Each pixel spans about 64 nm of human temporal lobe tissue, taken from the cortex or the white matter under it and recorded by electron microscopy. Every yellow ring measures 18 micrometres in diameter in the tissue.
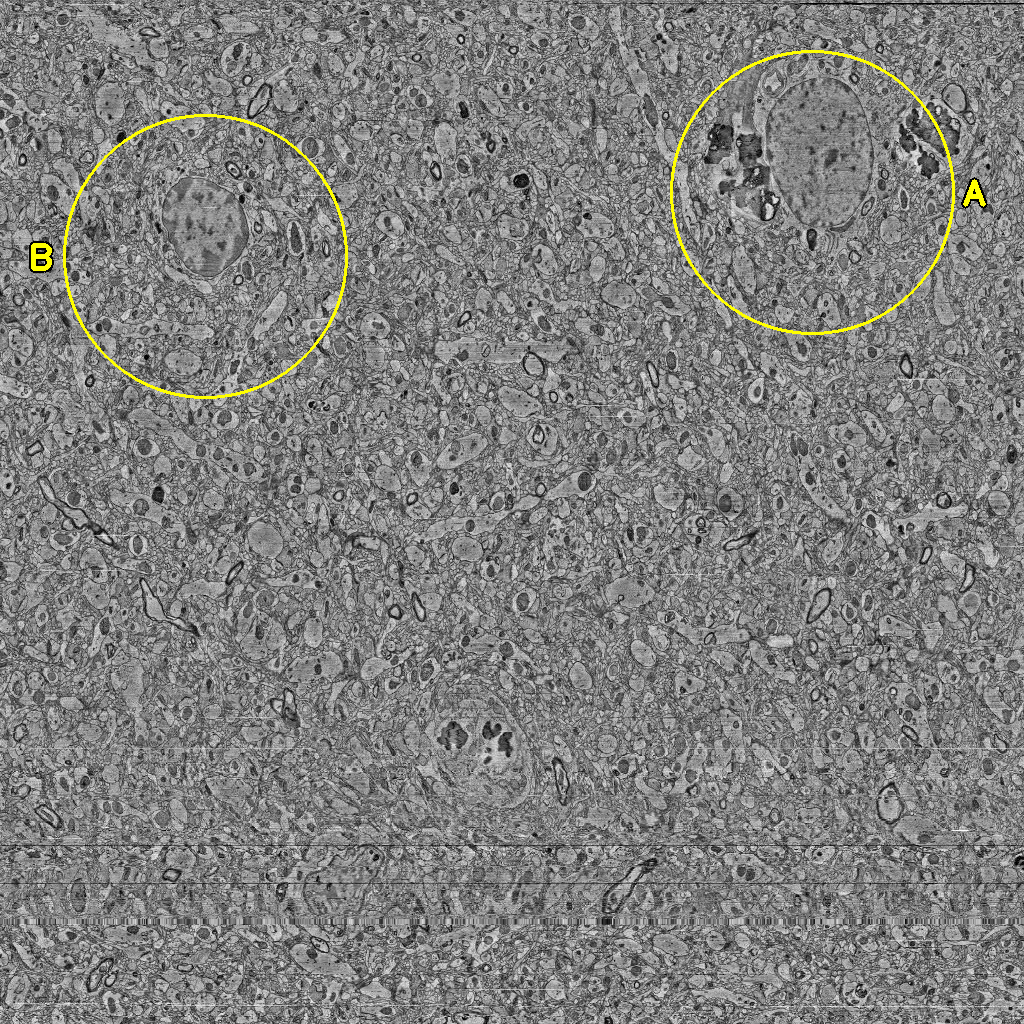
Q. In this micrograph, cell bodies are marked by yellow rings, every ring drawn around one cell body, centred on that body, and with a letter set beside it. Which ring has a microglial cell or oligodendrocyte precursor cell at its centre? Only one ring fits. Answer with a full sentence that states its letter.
The ring lettered B surrounds the cell asked for at its centre.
